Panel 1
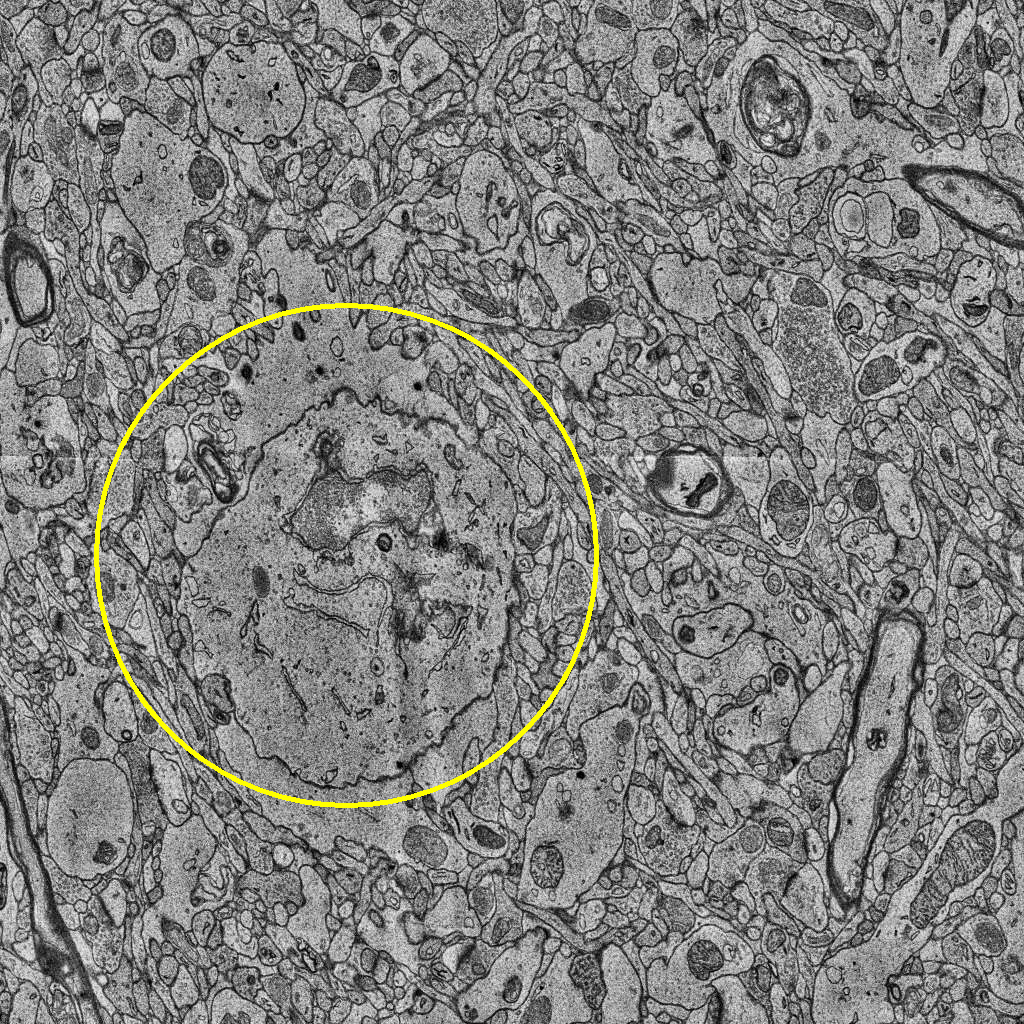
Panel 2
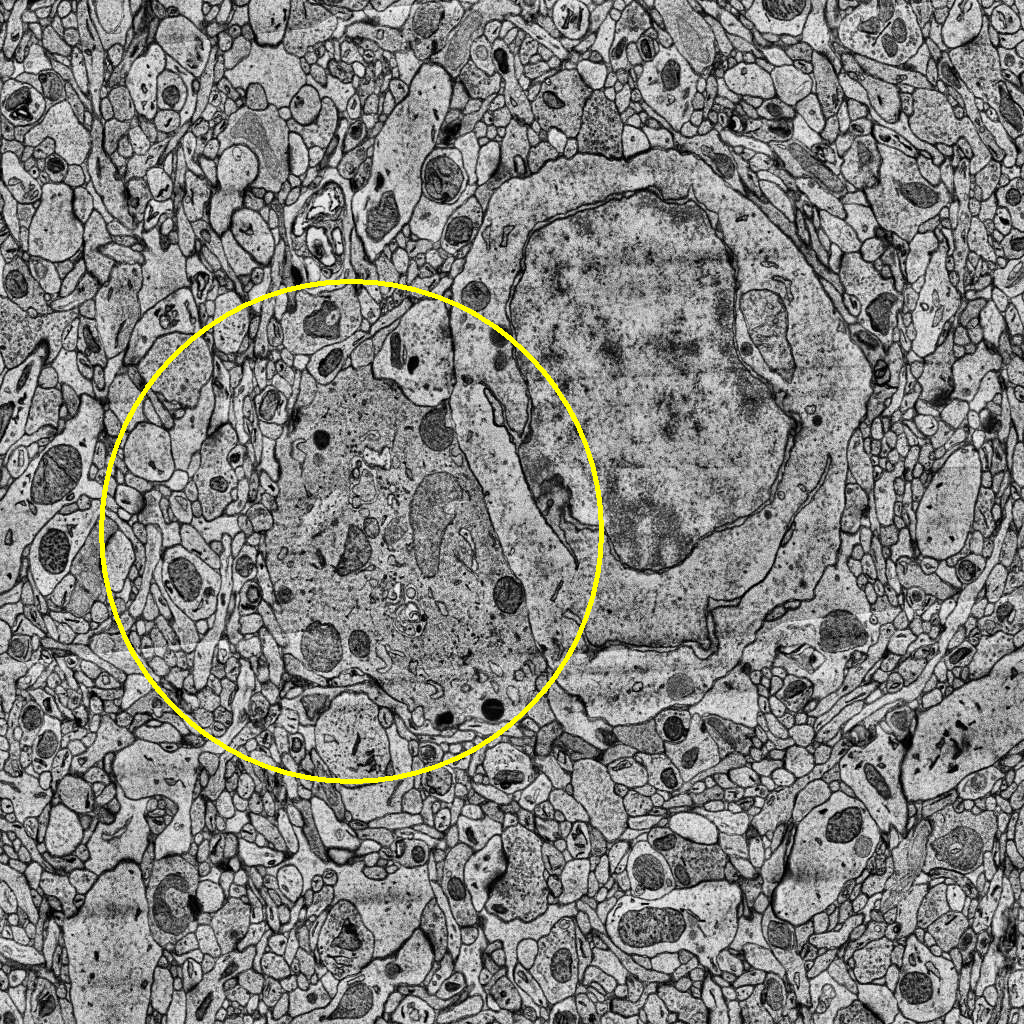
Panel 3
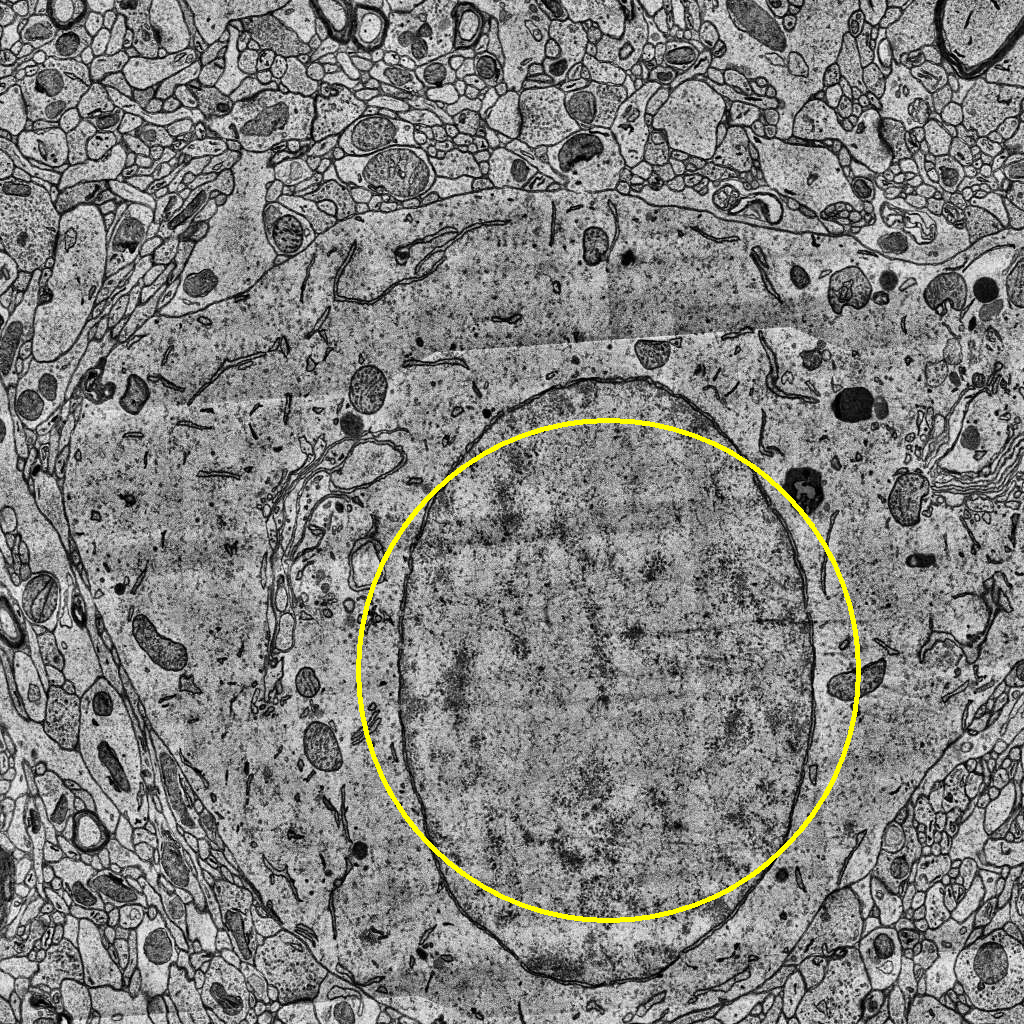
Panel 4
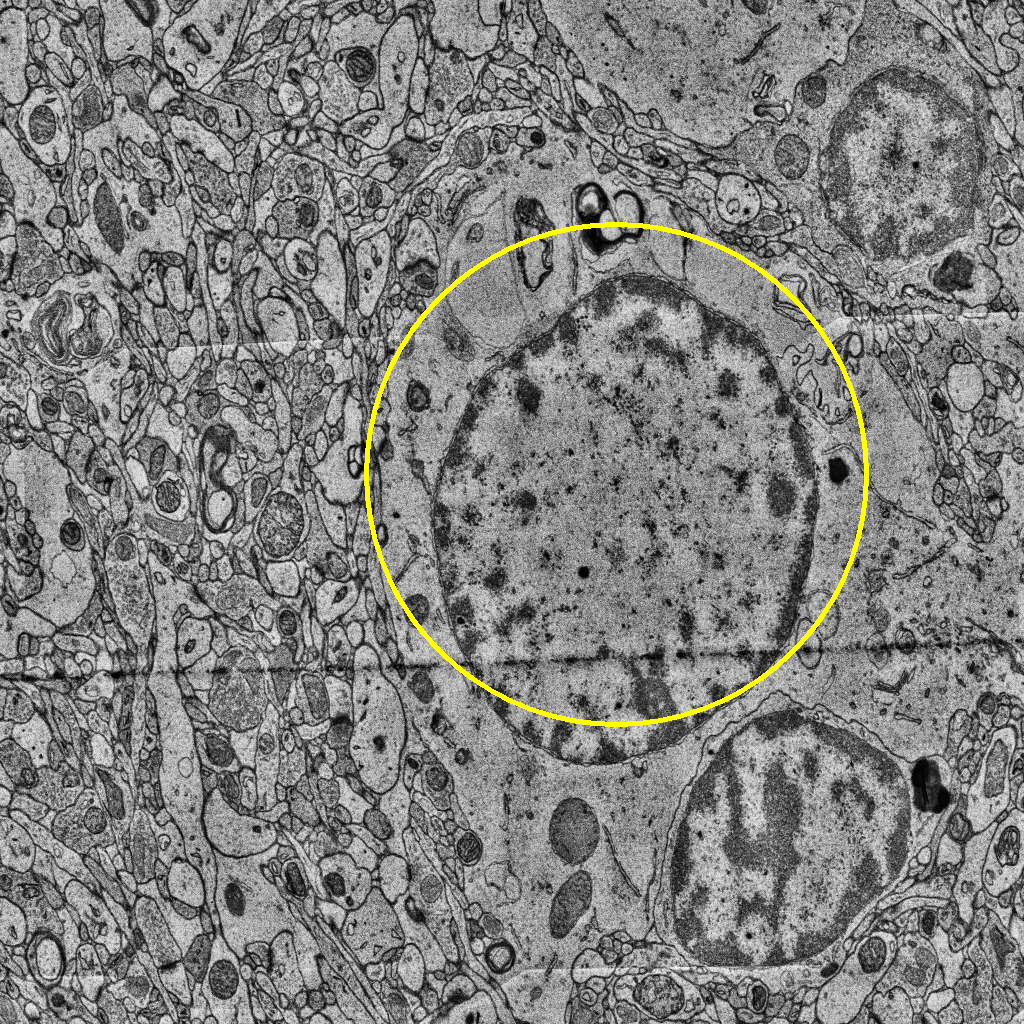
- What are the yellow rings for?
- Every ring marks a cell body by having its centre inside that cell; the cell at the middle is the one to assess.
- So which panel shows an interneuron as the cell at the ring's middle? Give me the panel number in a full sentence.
The panel whose ring has its middle inside the cell in question is panel 1.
